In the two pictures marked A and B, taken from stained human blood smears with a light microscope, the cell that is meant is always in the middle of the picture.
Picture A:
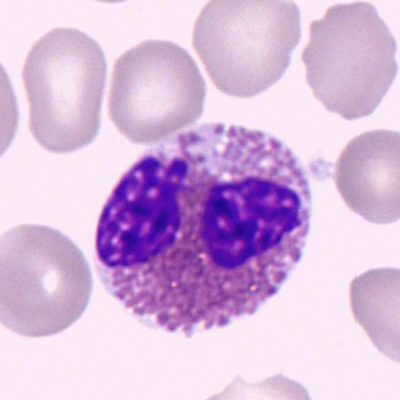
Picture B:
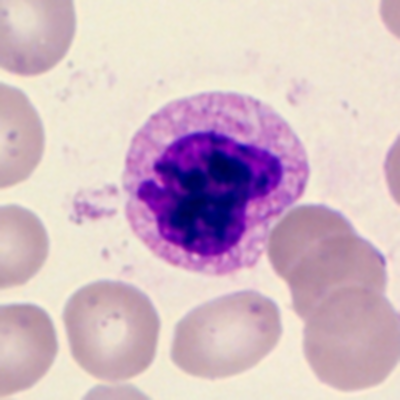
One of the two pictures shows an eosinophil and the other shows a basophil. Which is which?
A: eosinophil
B: basophil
